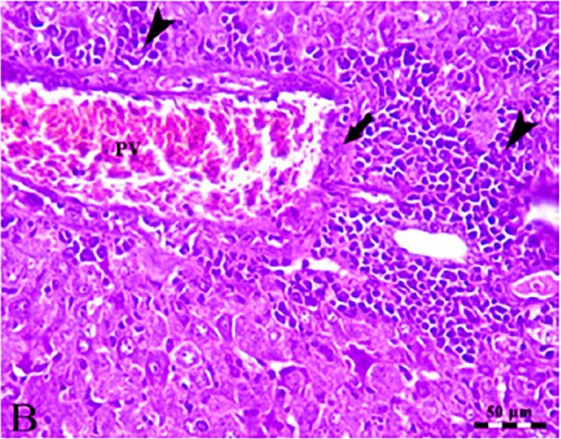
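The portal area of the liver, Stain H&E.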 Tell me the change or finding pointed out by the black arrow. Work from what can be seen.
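Increased thickness of its wall. The arrow points to the pink fibrous wall of the large blood-filled vessel. The wall forms a distinct thick pink band around the lumen.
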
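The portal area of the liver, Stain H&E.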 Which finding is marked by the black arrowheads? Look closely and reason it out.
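Large periportal lymphoid element aggregation. A large sheet of densely packed small round cells with dark purple nuclei lies next to the large vessel. These cells are much smaller and darker than the surrounding polygonal liver cells.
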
